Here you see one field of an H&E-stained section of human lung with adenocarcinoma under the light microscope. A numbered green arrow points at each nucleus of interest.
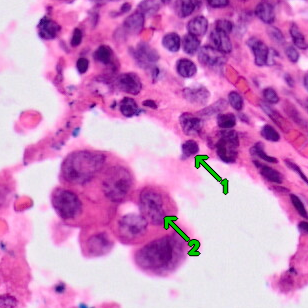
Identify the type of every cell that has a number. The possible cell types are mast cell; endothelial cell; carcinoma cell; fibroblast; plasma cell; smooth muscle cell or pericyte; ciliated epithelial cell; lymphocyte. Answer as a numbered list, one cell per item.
1. lymphocyte
2. carcinoma cell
